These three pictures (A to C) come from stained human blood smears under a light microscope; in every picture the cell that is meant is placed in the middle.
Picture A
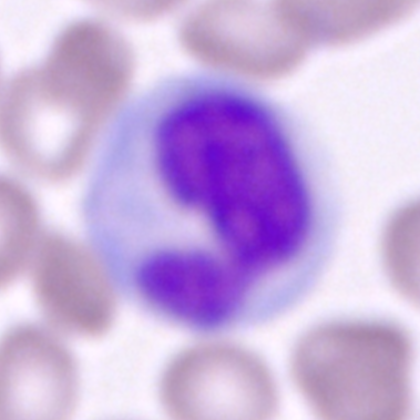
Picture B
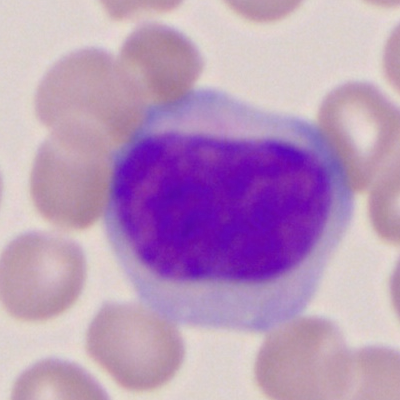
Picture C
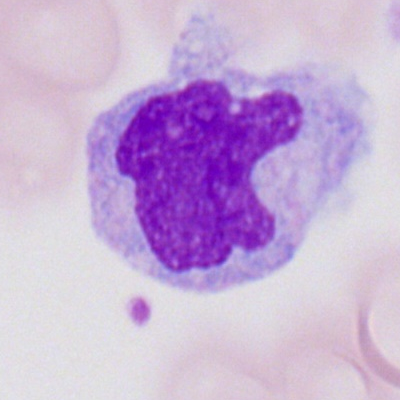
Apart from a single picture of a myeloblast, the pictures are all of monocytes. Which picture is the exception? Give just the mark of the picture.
B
